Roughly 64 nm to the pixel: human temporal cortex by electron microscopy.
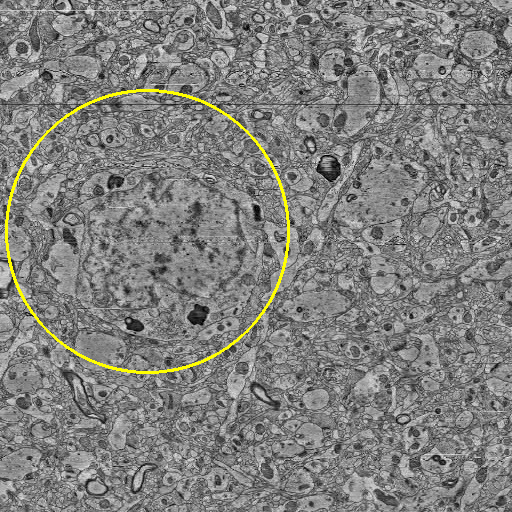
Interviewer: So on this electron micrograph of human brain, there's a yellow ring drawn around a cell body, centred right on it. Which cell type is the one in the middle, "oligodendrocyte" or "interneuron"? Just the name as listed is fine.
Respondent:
interneuron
